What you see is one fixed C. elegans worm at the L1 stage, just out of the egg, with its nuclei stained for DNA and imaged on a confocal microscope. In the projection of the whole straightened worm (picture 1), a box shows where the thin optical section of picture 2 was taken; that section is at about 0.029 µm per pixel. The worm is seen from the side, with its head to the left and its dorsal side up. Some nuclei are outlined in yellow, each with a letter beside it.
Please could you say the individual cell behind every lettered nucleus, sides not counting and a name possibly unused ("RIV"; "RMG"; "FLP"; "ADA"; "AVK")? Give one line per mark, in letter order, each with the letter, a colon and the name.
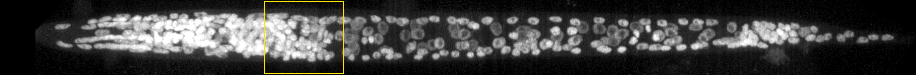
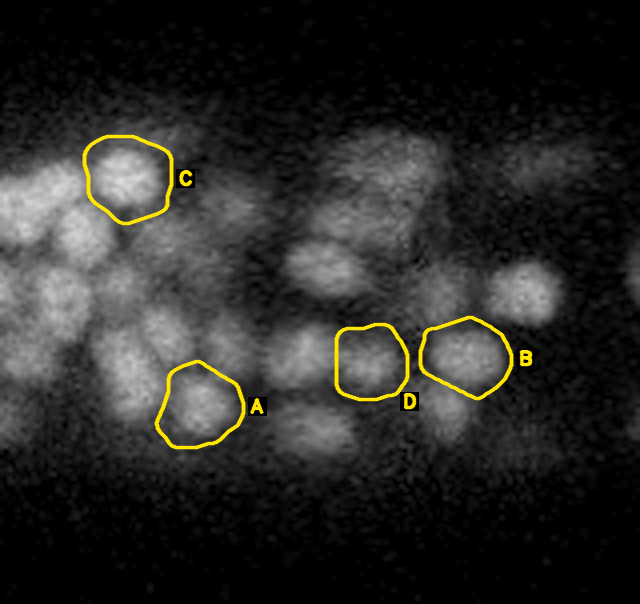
A: AVK
B: RMG
C: RIV
D: ADA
